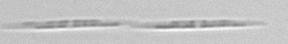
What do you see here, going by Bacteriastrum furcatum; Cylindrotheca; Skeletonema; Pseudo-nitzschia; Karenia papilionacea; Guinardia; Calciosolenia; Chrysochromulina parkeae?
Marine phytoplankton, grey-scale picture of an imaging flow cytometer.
I see Pseudo-nitzschia.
